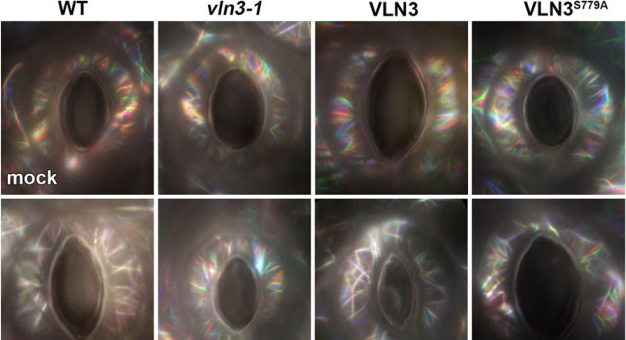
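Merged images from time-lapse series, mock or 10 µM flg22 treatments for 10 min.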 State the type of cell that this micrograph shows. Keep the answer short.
guard cells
